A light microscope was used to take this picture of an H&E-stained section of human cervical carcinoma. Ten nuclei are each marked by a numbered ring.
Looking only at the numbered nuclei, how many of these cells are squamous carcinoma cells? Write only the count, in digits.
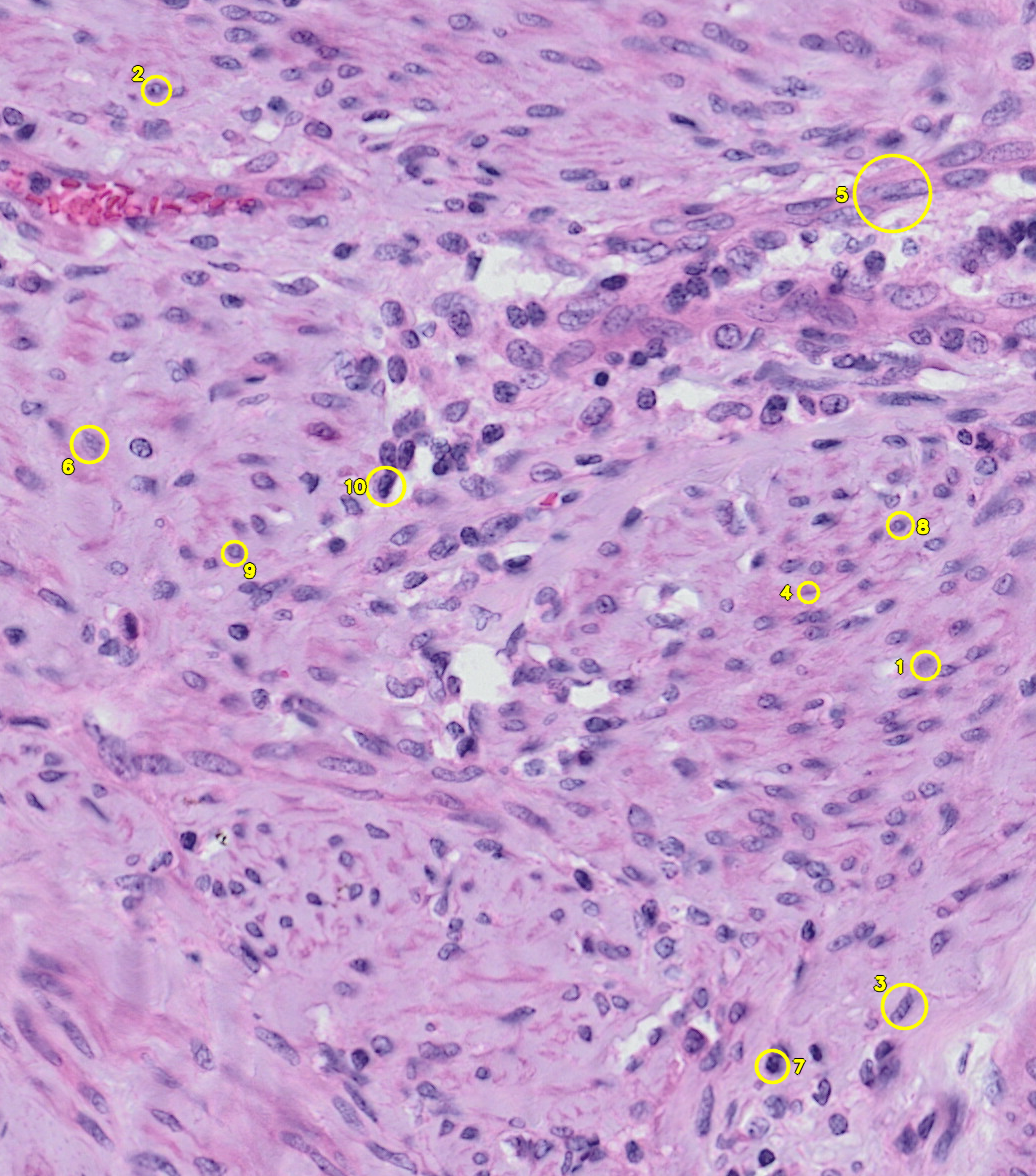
0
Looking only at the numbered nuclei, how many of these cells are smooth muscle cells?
6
